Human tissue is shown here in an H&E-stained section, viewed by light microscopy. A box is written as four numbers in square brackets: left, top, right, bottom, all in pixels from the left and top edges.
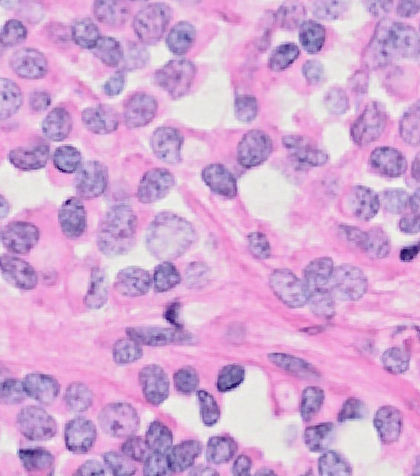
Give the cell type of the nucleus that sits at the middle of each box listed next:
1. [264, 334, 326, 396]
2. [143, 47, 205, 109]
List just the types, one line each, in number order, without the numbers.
endothelial cell
carcinoma cell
